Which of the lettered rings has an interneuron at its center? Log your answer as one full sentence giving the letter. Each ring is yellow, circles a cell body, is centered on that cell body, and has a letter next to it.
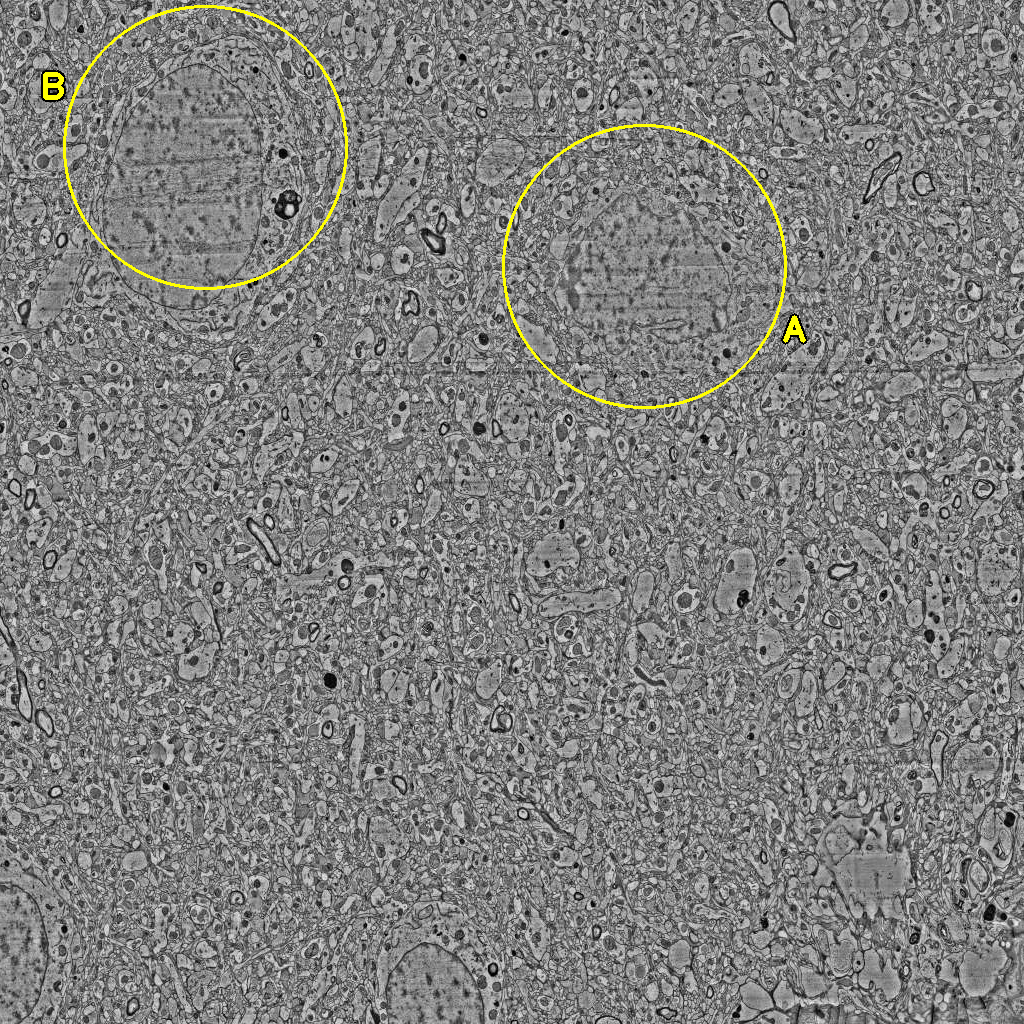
The lettered ring centered on the cell asked for is ring A.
